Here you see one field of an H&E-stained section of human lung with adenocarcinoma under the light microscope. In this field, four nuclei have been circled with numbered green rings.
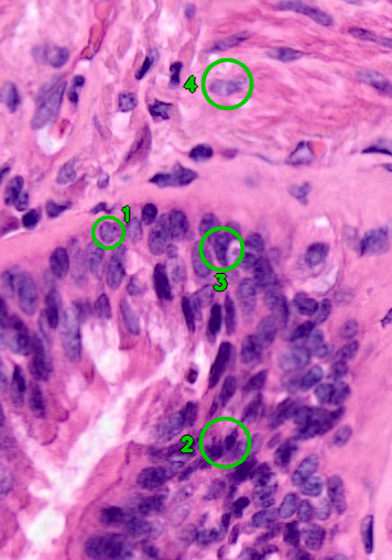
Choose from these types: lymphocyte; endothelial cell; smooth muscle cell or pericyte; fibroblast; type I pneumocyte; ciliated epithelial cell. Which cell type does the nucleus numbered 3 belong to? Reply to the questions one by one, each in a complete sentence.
The cell marked with number 3 is a ciliated epithelial cell.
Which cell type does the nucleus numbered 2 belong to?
The cell given label 2 is a ciliated epithelial cell.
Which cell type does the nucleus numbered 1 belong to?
The correct label for cell 1 is a ciliated epithelial cell.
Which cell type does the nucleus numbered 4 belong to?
In this section, the cell tagged 4 is a smooth muscle cell or pericyte.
